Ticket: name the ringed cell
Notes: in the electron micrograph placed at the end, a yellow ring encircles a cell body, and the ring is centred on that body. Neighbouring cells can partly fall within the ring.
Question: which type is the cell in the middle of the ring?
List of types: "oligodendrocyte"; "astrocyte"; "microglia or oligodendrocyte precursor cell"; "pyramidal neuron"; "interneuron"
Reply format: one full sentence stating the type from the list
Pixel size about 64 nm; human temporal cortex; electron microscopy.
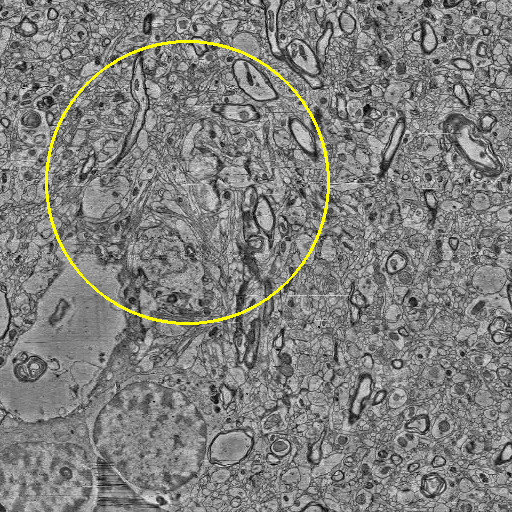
The cell sitting at the centre of the yellow ring is a microglial cell or oligodendrocyte precursor cell.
